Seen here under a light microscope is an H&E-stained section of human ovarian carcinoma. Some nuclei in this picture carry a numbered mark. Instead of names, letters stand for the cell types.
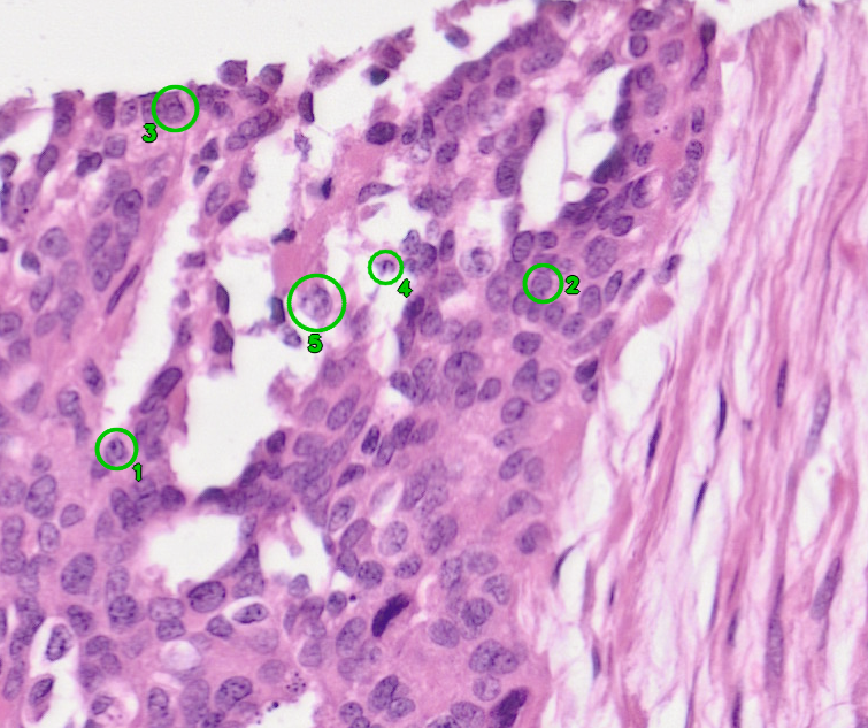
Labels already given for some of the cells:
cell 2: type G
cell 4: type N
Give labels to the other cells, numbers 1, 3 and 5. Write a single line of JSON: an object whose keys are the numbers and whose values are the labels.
{"1": "type N", "3": "type G", "5": "type N"}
